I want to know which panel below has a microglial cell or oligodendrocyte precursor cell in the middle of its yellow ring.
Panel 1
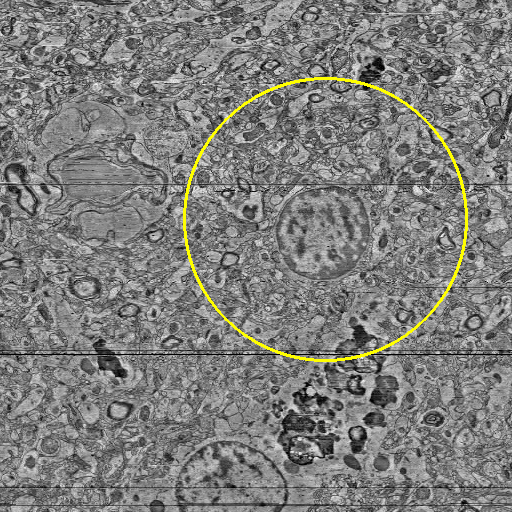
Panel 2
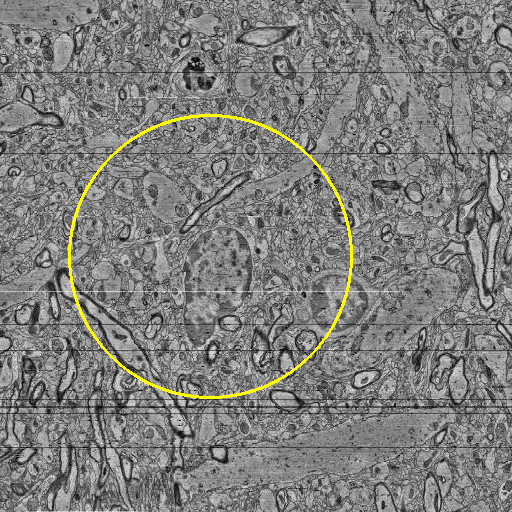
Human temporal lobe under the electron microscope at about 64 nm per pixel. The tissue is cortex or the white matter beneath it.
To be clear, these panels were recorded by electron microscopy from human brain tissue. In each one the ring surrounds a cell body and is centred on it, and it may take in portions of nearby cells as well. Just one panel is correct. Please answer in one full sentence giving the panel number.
Panel 2 has the requested cell sitting at the centre of its ring.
